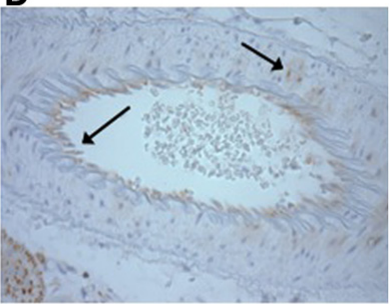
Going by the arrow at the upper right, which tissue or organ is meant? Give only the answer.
smooth muscle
